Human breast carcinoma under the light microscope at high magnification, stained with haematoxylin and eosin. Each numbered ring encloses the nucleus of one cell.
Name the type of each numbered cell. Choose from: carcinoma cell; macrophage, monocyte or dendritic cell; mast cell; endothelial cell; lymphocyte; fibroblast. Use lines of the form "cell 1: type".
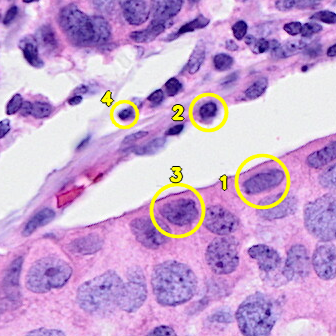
cell 1: carcinoma cell
cell 2: lymphocyte
cell 3: carcinoma cell
cell 4: lymphocyte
